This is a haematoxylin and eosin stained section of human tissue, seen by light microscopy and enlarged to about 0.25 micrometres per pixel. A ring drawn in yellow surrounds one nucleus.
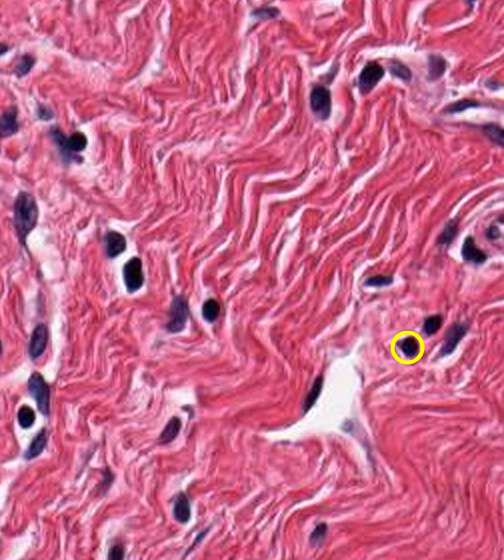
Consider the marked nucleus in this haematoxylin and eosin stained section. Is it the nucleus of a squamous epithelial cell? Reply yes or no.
no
